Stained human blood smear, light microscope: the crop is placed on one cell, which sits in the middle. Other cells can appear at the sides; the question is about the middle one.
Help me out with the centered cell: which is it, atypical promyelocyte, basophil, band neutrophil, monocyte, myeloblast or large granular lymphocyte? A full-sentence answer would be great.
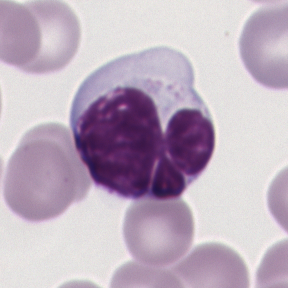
What the crop centres on is a large granular lymphocyte.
